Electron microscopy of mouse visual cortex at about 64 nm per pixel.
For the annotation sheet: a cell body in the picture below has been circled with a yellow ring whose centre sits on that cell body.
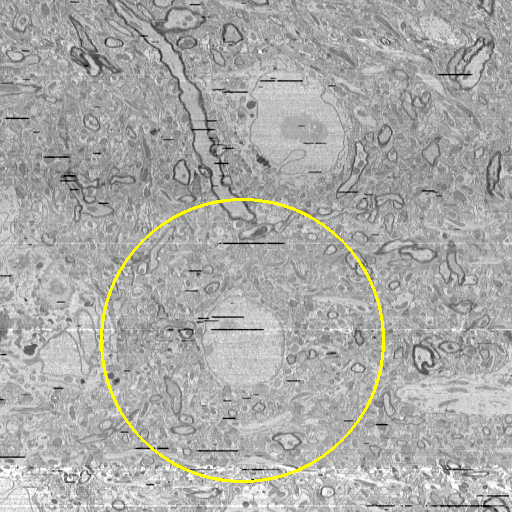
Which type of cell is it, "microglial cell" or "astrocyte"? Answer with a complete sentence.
The circled cell is an astrocyte.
